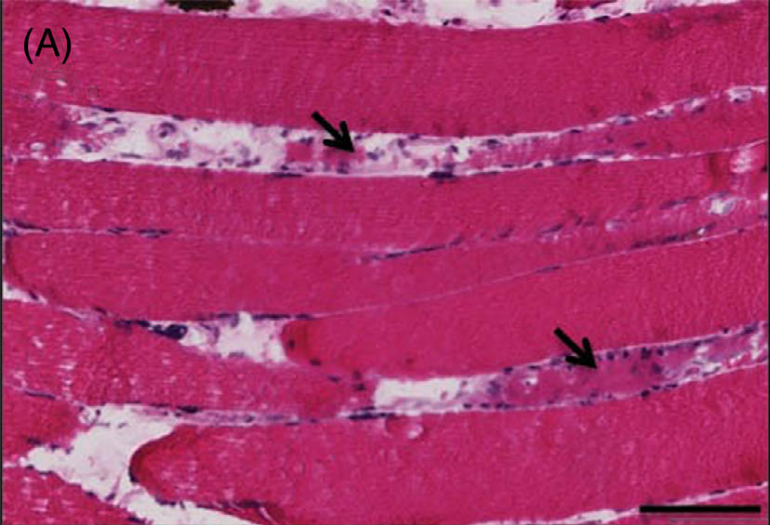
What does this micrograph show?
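Long, parallel skeletal muscle fibers cut lengthwise fill the field, stained deep eosin pink with faint cross-striations and flattened dark nuclei at their edges. Between some fibers lie narrow gaps holding pale, loose material crowded with small purple nuclei. Here and there a fiber ends bluntly beside such a gap. These nucleus-rich gaps beside fiber ends are small foci of muscle degeneration in otherwise intact muscle.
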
